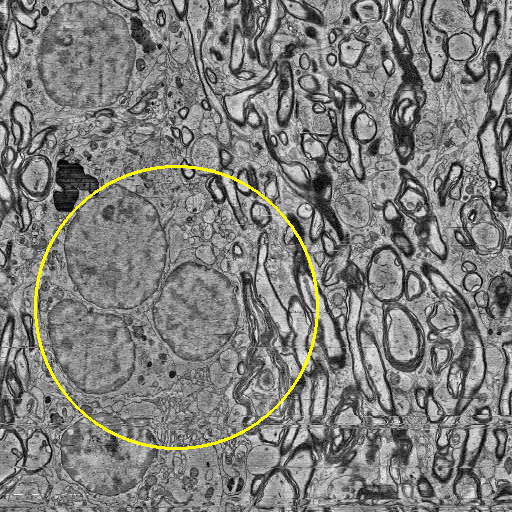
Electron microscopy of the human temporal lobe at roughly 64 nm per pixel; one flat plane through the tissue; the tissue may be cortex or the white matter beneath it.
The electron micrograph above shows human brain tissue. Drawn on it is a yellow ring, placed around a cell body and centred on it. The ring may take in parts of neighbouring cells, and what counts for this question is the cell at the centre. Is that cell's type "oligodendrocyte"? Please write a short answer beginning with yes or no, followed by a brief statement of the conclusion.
Yes, its type is the one named.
